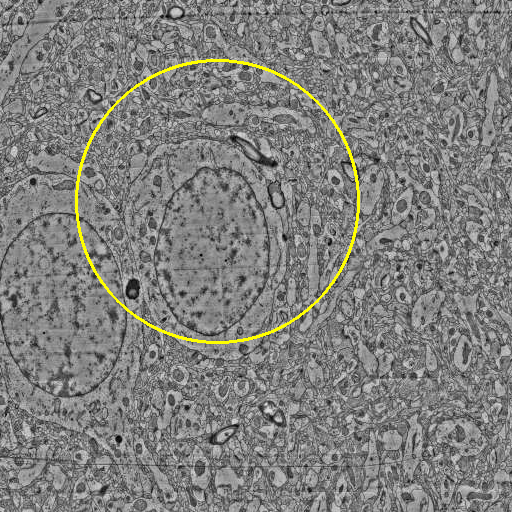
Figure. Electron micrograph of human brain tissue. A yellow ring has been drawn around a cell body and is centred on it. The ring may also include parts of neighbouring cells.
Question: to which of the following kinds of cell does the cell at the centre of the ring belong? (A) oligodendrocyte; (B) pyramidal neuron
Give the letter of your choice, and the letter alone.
B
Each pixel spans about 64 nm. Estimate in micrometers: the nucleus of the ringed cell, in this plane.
In this plane, approximately 11 by 8 micrometers.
